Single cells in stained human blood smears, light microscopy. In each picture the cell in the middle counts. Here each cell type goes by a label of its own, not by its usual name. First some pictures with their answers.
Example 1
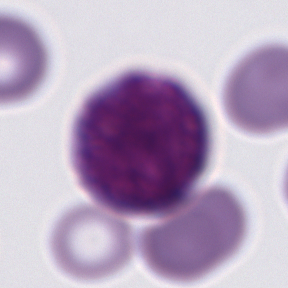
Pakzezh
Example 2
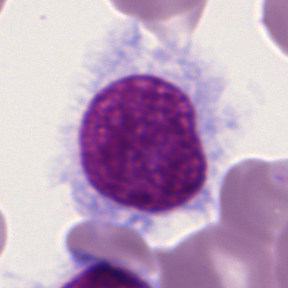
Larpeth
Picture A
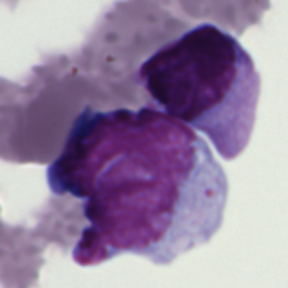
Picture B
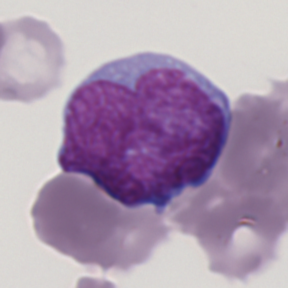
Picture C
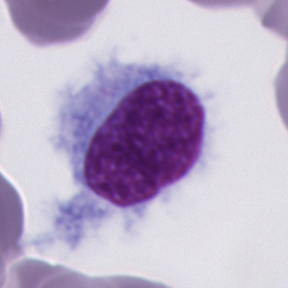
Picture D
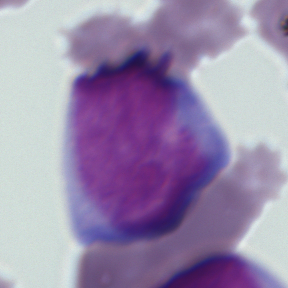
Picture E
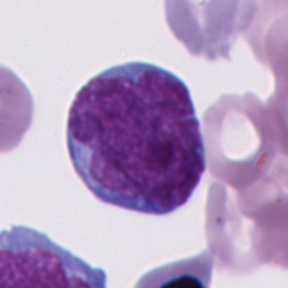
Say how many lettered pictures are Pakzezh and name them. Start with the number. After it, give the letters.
4, namely A, B, D, E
